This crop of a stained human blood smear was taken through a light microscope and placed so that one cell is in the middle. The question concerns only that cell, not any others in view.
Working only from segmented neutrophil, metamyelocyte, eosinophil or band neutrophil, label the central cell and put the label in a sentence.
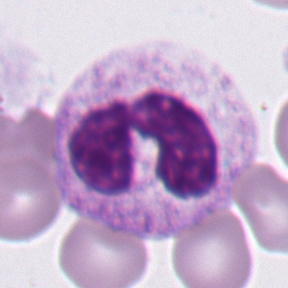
Looking at the middle of the crop, the cell there is a segmented neutrophil.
